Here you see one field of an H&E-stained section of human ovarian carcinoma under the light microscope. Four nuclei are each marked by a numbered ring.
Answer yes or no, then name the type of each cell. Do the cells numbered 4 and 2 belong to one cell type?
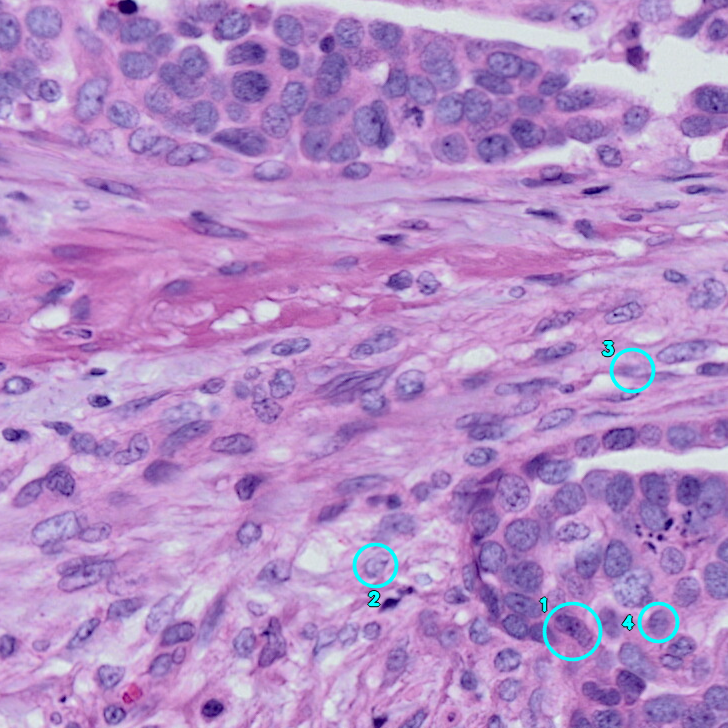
No, cell 4 is categorized as a carcinoma cell, while cell 2 is categorized as a fibroblast.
